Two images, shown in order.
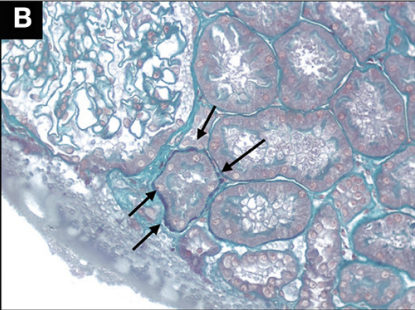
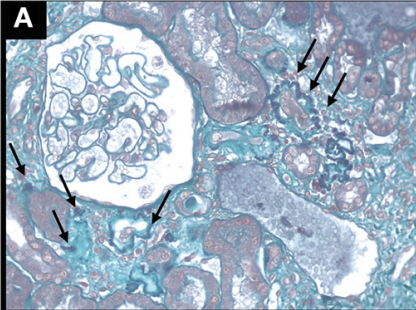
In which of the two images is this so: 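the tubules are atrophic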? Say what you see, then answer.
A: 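First image: tubules are large and round with full epithelium and open lumens.
Answer: the second image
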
